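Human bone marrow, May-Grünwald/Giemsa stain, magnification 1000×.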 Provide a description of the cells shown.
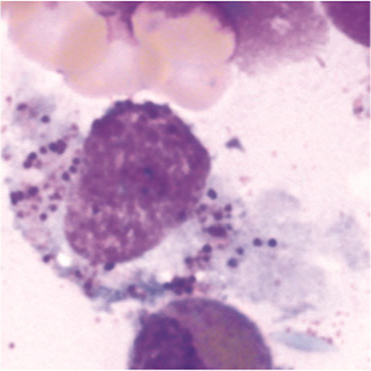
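Only scattered dark purple granules remain, many dispersed outside the cell outline. Red blood cells lie above and another nucleated cell below.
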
